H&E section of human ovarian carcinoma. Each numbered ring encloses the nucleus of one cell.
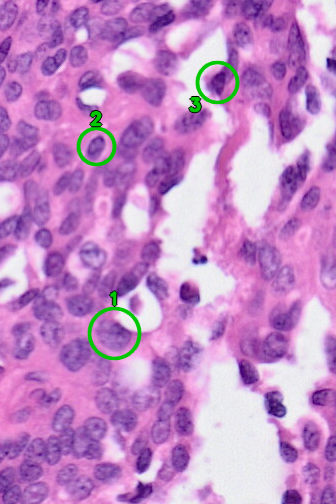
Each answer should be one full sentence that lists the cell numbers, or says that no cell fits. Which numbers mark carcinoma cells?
The cells which carry the numbers 1 and 3 are carcinoma cells.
